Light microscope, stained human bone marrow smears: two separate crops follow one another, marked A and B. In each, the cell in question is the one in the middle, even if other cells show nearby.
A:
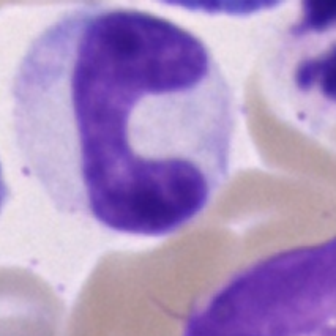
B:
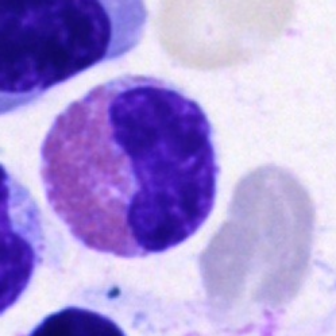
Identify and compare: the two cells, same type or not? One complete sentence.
No, crop A shows a band neutrophil and crop B shows an eosinophil.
